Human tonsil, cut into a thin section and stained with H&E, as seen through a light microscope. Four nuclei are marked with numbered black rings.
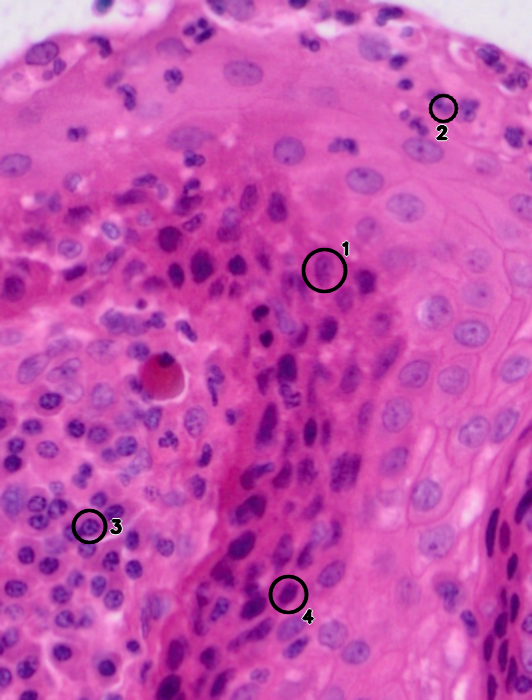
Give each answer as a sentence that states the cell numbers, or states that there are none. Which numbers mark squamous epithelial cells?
The cells with the numbers 1, 2 and 4 are squamous epithelial cells.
